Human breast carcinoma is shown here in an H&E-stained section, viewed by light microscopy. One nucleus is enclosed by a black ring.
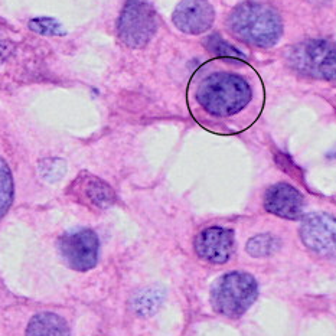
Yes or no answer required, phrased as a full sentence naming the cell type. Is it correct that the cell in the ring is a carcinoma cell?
Yes, the cell in the ring is assigned the identity of a carcinoma cell.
